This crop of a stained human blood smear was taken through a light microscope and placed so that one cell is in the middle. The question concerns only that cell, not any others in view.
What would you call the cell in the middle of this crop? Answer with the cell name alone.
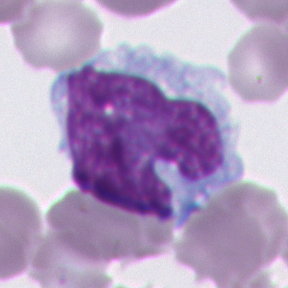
monocyte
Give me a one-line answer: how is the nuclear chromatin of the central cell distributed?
The chromatin is fine; coarse clumps are not a feature here.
